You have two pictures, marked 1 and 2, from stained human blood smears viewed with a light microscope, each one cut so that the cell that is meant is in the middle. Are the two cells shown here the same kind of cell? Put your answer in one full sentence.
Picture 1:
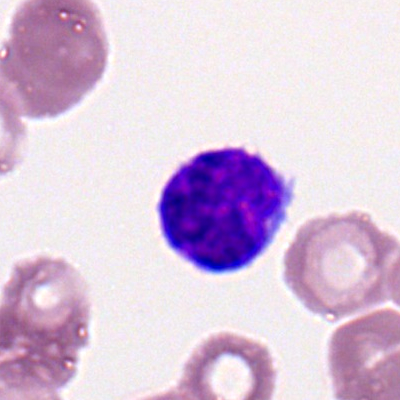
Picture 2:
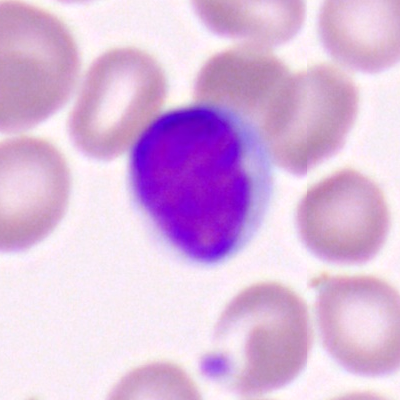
Yes, they are the same type: both are lymphocytes.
